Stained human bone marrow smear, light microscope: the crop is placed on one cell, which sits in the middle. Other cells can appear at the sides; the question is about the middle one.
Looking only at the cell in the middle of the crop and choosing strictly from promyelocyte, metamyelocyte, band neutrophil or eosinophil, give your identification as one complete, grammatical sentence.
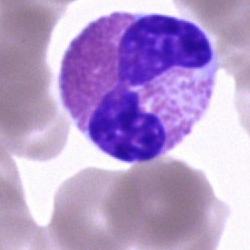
Centred in the crop is an eosinophil.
